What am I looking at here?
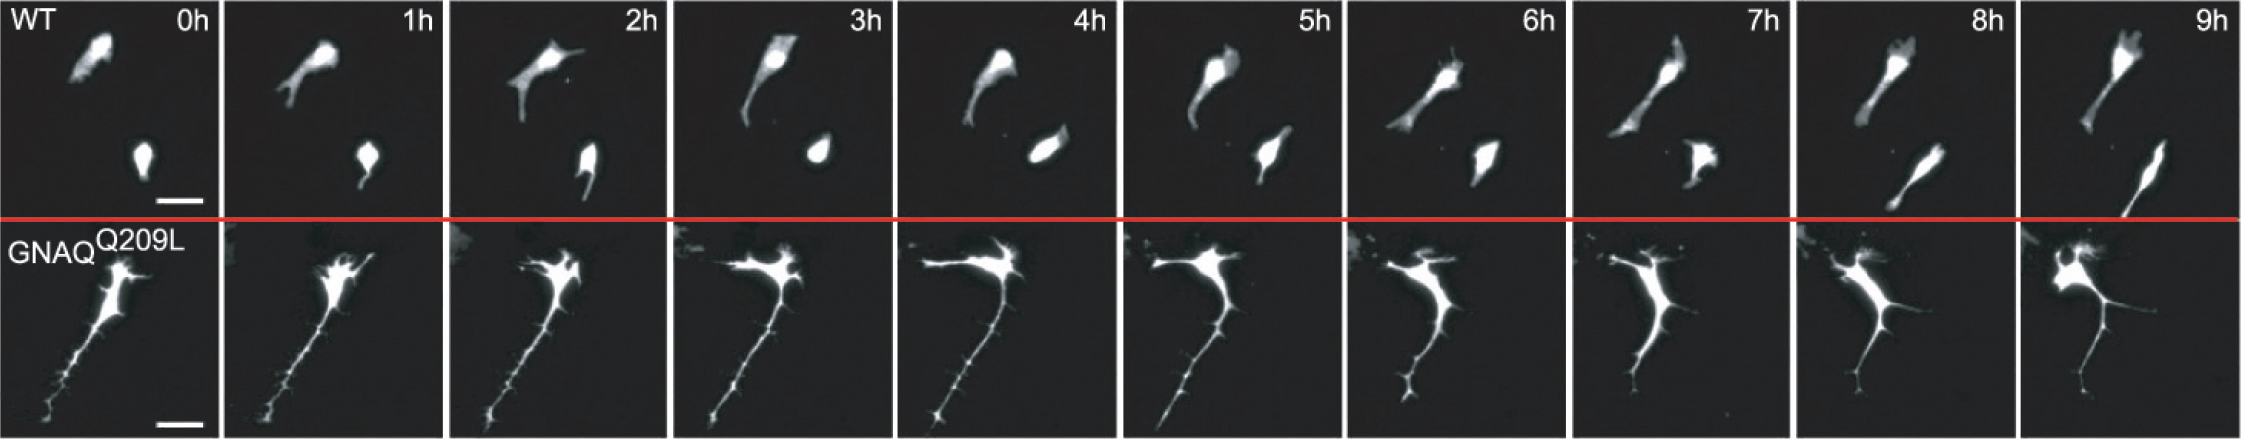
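Fluorescent melanocytes are followed over successive frames as bright white cells on a dark background. In the upper row the cells are small and compact with short processes, while in the lower row a single cell has an angular, polygonal body with several branches and a very long, thin, beaded dendrite that changes over the frames.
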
